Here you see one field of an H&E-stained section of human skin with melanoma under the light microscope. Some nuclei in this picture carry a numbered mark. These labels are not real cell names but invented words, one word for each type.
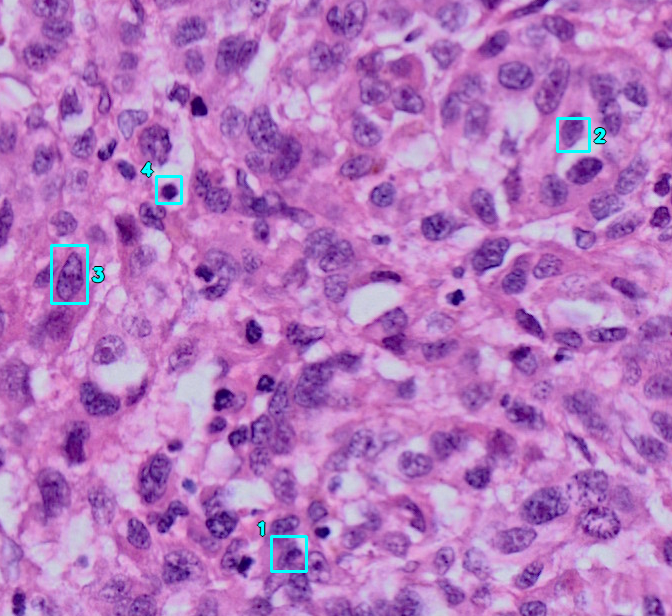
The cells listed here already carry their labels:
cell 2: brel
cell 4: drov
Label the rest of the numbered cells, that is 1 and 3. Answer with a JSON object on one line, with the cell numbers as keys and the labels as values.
{"1": "brel", "3": "brel"}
